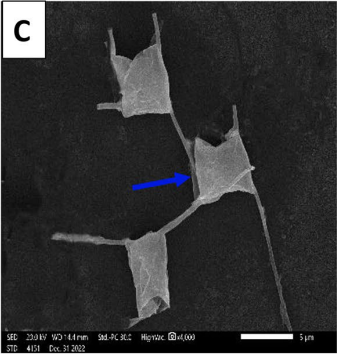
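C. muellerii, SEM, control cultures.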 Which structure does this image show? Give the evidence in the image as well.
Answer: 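Neighbouring cells are joined by their long spines. That points to this answer: chain.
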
